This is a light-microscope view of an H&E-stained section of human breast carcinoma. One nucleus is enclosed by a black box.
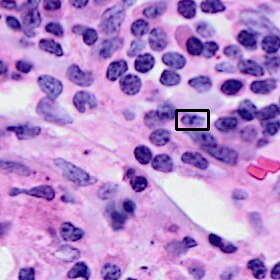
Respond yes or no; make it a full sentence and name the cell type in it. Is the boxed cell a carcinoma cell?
No, for the boxed cell the correct label is a lymphocyte and not a carcinoma cell.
